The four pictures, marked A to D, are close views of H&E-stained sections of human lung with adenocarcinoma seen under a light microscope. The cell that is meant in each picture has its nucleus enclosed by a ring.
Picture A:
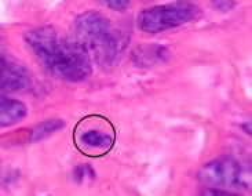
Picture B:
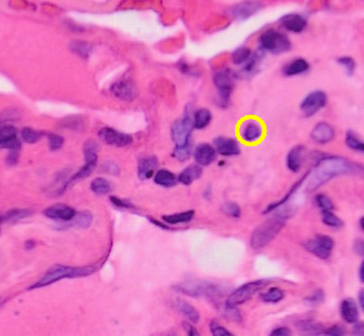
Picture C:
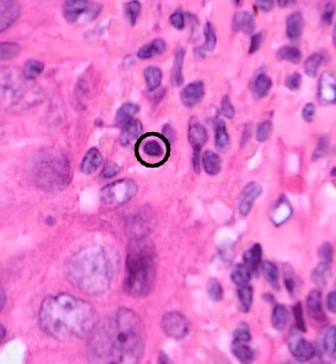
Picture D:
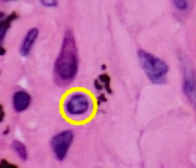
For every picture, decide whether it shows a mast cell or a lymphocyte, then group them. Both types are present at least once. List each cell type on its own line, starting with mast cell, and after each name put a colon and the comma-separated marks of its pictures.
mast cell: D
lymphocyte: A, B, C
